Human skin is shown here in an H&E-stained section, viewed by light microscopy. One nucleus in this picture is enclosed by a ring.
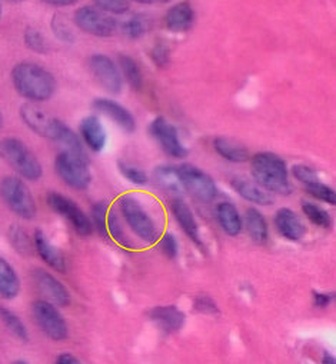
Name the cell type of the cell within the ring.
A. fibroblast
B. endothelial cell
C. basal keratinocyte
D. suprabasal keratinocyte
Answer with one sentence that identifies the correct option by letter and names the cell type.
In this case the cell within the ring is a basal keratinocyte, so option C is correct.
